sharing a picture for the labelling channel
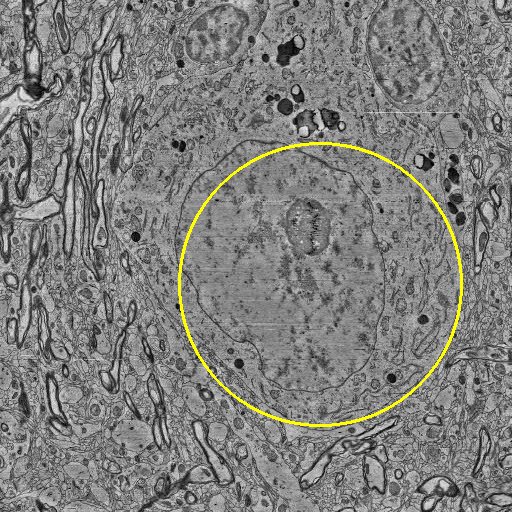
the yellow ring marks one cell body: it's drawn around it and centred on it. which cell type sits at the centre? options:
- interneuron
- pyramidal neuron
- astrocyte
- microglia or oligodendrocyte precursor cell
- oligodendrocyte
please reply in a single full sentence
In the picture, the cell at the ring's centre is a pyramidal neuron, going by the list.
